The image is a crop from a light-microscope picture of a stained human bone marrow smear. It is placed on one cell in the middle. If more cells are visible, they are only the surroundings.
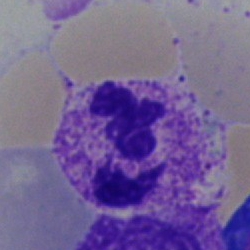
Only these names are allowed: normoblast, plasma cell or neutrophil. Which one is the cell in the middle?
neutrophil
